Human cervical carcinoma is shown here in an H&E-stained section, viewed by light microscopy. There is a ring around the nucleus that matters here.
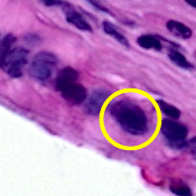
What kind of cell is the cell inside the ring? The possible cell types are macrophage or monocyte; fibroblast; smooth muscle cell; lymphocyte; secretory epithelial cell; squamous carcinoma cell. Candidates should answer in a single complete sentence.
As for its identity, the cell inside the ring is a secretory epithelial cell.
